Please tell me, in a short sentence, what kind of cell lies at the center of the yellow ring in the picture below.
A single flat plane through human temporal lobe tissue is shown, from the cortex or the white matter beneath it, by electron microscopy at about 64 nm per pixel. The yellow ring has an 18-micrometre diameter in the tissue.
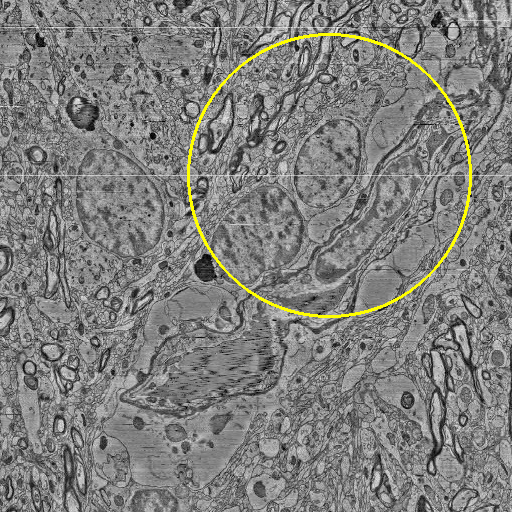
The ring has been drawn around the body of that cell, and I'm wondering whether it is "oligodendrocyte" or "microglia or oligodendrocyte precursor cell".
The cell at the center of the ring is a microglial cell or oligodendrocyte precursor cell.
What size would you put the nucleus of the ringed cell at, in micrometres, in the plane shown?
The nucleus is about 6 micrometres in length and 4 in width, clearly longer than it is wide in this plane.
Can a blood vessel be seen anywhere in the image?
Yes, there is a blood vessel in the image.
